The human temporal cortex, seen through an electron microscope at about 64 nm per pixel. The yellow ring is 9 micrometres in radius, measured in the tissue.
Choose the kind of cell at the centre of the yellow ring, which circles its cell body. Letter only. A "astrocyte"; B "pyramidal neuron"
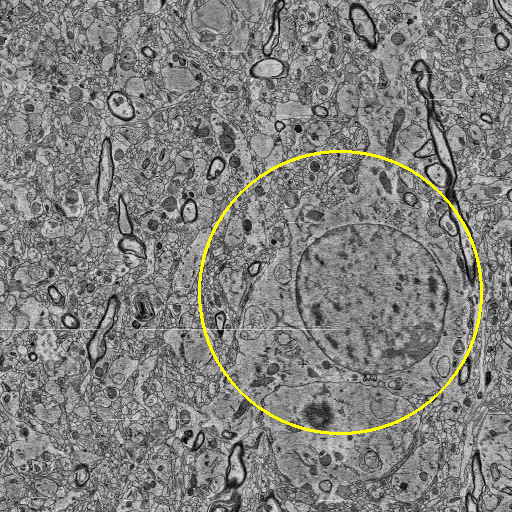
A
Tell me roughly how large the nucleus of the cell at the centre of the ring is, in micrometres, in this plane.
In this plane the nucleus is about 10 micrometres across.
